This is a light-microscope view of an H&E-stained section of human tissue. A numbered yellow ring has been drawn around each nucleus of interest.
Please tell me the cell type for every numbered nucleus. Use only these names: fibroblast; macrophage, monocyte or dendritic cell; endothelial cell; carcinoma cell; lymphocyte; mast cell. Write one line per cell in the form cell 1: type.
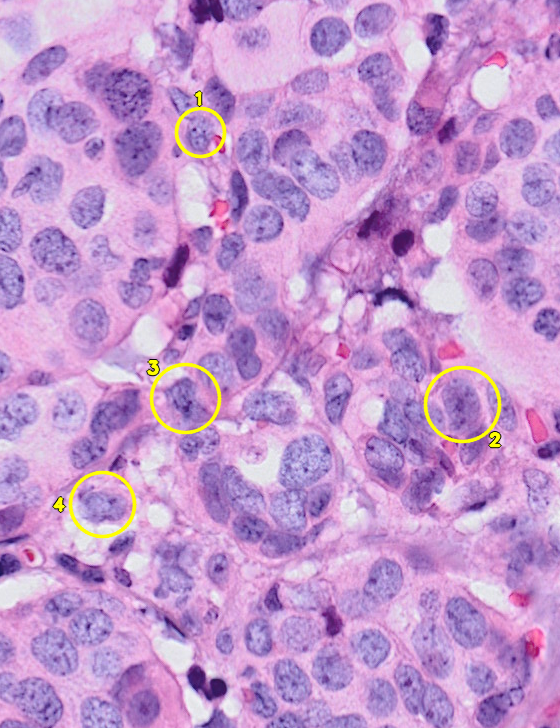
cell 1: endothelial cell
cell 2: carcinoma cell
cell 3: carcinoma cell
cell 4: carcinoma cell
